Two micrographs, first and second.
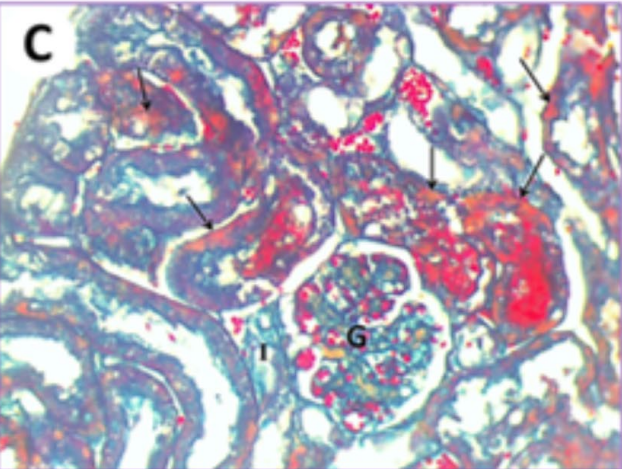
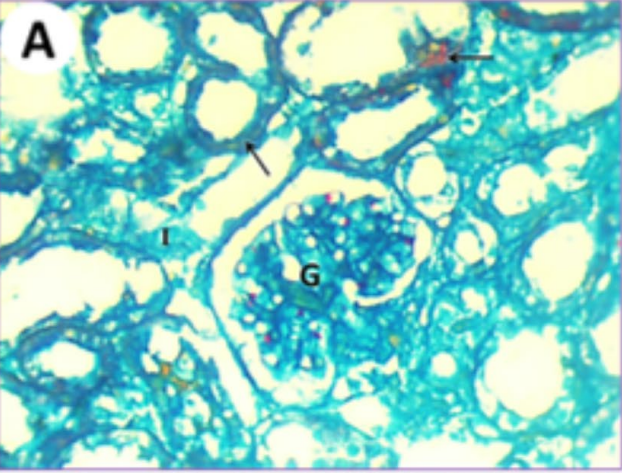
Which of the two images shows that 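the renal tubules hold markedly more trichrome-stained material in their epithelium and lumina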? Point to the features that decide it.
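The first image. Second image: tubules are stained mostly pale blue-green with only small scattered deposits. First image: many tubules carry dense dark red and brownish material in their walls and lumina.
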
